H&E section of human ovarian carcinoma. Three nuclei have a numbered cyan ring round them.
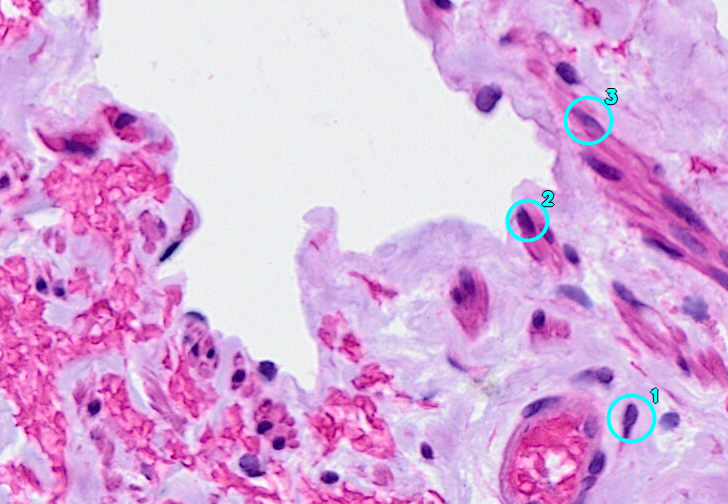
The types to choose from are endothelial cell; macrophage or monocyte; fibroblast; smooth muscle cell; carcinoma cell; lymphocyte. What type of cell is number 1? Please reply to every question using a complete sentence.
The cell that is numbered 1 is a fibroblast.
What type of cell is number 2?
In the tissue shown, cell 2 is a smooth muscle cell.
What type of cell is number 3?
The cell marked with number 3 is a smooth muscle cell.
